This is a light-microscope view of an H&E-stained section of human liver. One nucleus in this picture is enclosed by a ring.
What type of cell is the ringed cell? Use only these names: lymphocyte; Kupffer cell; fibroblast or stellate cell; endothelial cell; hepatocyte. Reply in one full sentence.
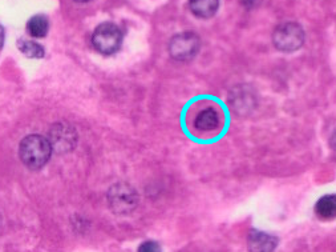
The ringed cell is a fibroblast or stellate cell.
